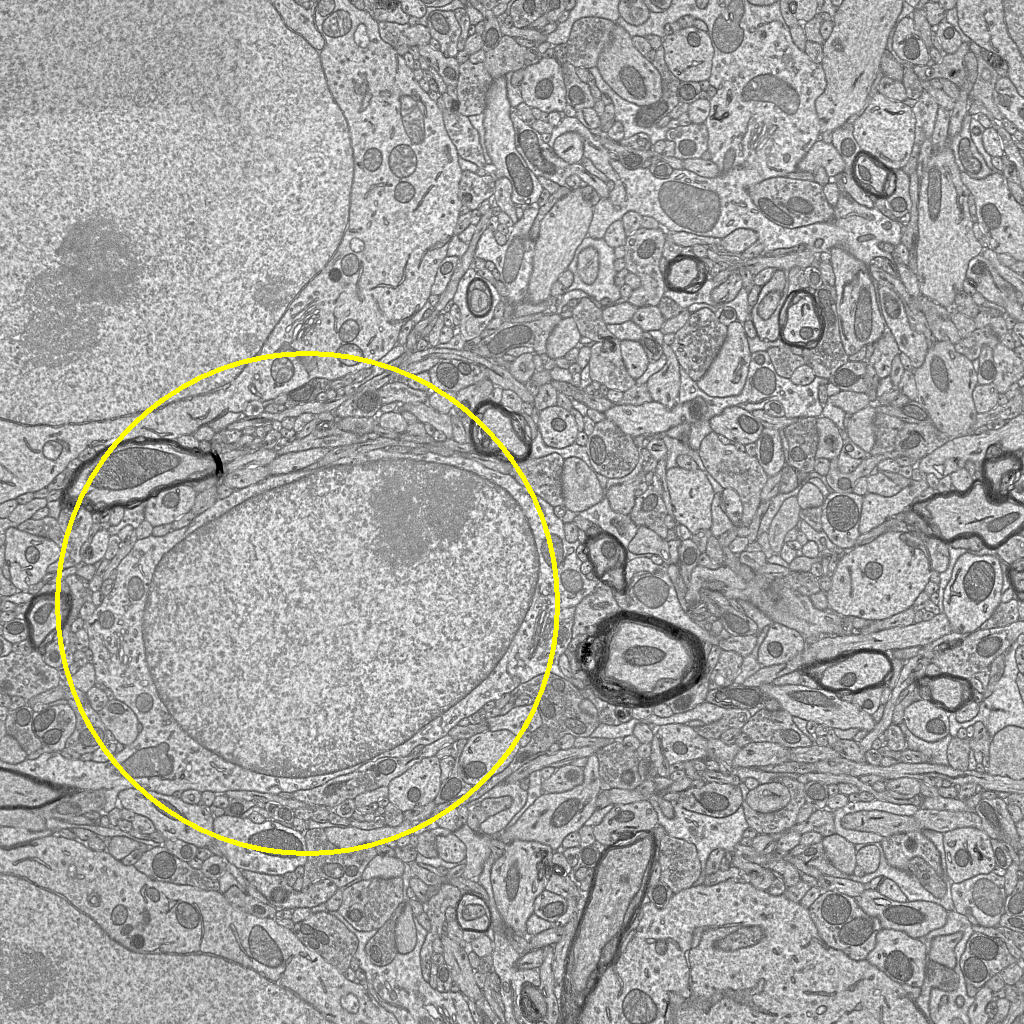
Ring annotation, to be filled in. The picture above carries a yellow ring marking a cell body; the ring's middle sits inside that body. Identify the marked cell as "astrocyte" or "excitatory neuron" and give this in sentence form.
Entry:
The cell at the middle of the ring is an astrocyte.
